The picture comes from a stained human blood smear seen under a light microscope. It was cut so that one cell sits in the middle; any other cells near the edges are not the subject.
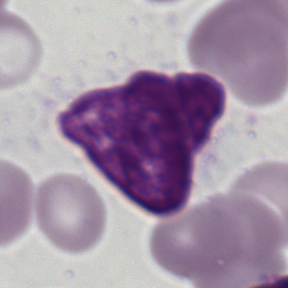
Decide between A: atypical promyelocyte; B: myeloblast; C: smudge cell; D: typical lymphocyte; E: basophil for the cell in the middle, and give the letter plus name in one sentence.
The cell in the middle is a smudge cell, and that makes option C correct.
